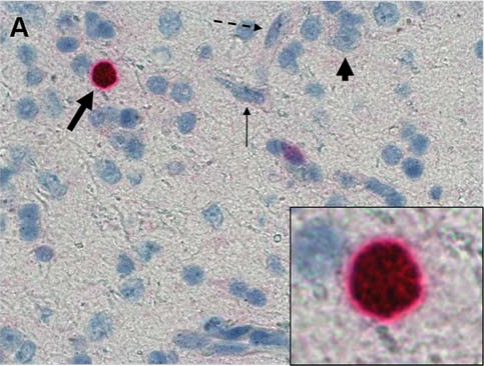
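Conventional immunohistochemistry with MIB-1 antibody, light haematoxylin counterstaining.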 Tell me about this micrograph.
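This is a section of neural tissue in which scattered glial cells, a few larger cells and vessel-lining cells lie in a pale, finely fibrillar background. Most nuclei are counterstained pale blue and vary from small and round to larger and oval. One small, round nucleus is stained intensely dark red, standing out sharply from the blue nuclei around it. Thin, elongated nuclei are lined up along narrow tubular structures that run through the tissue. An enlarged inset shows the red nucleus with a granular texture and a sharp outline.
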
